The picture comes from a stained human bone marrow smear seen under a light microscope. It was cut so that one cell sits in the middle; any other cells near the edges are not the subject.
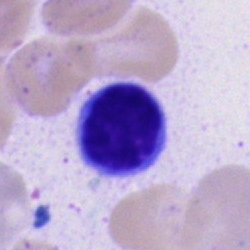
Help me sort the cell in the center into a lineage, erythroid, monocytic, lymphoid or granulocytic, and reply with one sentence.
It is of the lymphoid lineage that the central cell is a member.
